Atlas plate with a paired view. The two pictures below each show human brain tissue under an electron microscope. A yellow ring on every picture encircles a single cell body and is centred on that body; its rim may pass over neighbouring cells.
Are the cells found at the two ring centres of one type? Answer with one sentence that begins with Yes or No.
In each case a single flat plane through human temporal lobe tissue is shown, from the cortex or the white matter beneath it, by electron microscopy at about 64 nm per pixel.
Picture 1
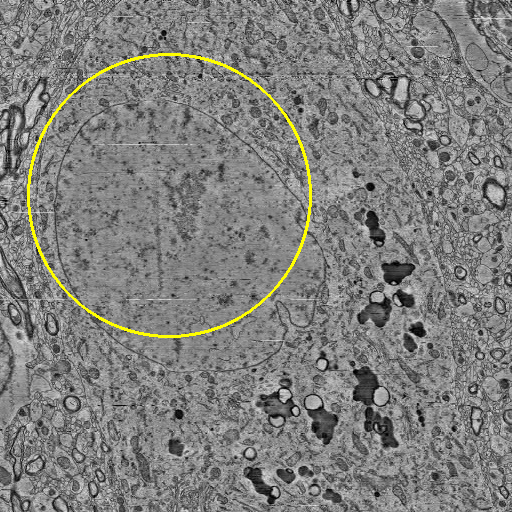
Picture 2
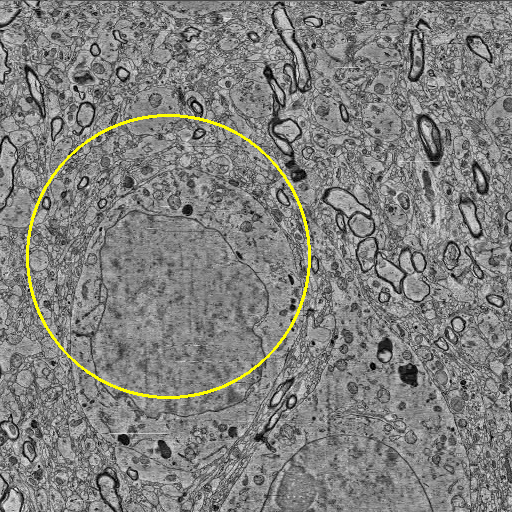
Yes, the two cells lying at the centres of the rings share a single type.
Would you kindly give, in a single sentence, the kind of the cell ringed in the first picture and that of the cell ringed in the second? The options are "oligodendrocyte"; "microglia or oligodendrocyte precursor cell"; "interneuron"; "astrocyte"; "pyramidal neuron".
Each cell, in the first picture and the second, is a pyramidal neuron.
